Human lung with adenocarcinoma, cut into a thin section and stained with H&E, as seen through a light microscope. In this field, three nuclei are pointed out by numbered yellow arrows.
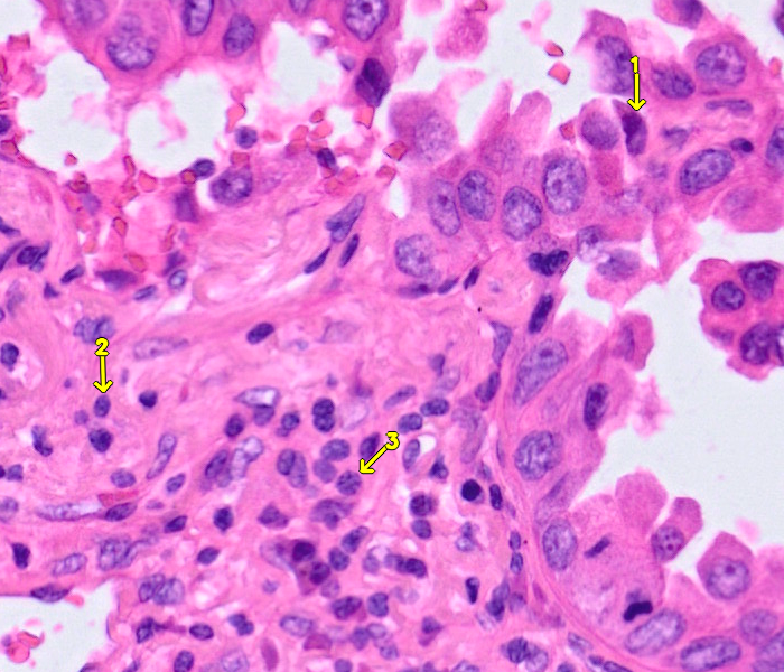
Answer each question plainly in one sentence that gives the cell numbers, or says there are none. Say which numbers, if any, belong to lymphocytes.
The cells tagged 2 and 3 are lymphocytes in this tissue section.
